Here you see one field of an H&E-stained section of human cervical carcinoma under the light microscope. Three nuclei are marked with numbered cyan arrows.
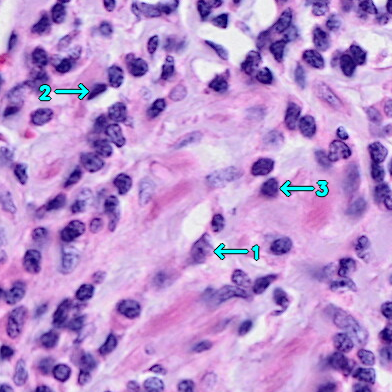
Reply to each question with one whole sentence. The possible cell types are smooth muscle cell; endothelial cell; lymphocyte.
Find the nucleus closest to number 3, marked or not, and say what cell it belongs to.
The nucleus nearest to number 3 is that of a lymphocyte.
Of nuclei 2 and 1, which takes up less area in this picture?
Number 2 is smaller, since number 1 takes up about 2 times as much area.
